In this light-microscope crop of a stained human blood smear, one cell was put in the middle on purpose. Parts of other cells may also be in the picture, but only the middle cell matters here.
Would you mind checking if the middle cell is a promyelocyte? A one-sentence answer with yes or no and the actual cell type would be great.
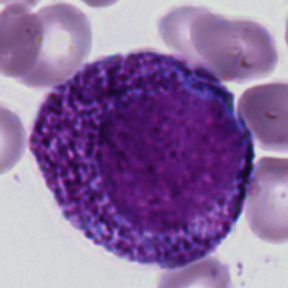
Yes, centred in the crop is a promyelocyte.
